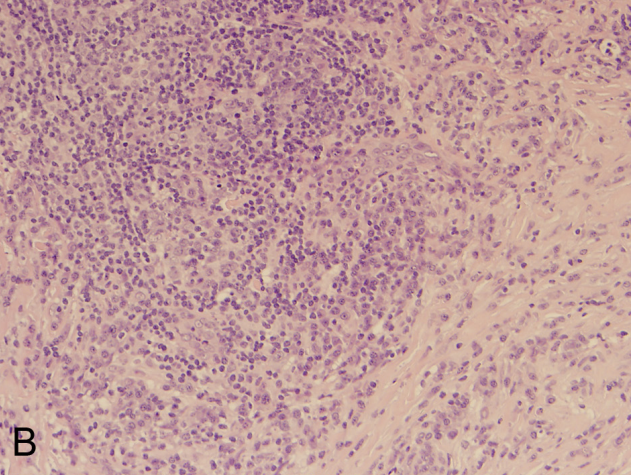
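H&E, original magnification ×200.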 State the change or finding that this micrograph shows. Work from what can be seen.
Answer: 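Lymphoplasma cell infiltration. Dense sheets of small round cells with dark round nuclei fill much of the field. Some cells have more cytoplasm around an off-centre nucleus.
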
